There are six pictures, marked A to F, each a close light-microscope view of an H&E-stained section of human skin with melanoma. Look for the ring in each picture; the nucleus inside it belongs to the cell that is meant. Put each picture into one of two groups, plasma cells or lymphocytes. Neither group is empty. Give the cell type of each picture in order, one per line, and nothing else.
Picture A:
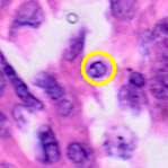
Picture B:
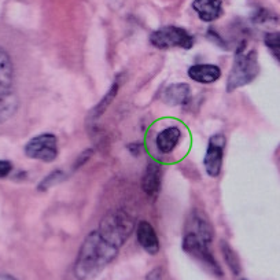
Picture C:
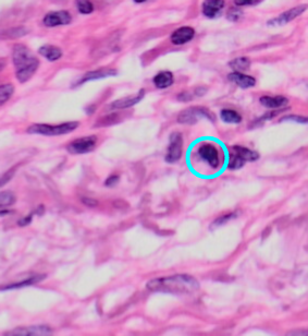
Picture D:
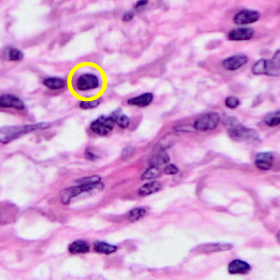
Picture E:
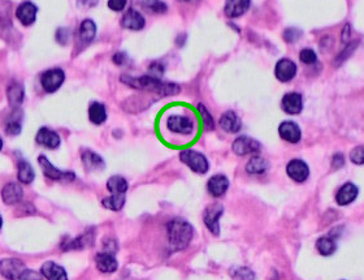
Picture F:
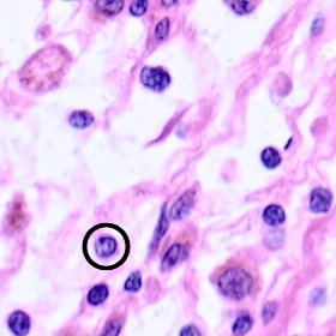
lymphocyte
lymphocyte
plasma cell
plasma cell
lymphocyte
lymphocyte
